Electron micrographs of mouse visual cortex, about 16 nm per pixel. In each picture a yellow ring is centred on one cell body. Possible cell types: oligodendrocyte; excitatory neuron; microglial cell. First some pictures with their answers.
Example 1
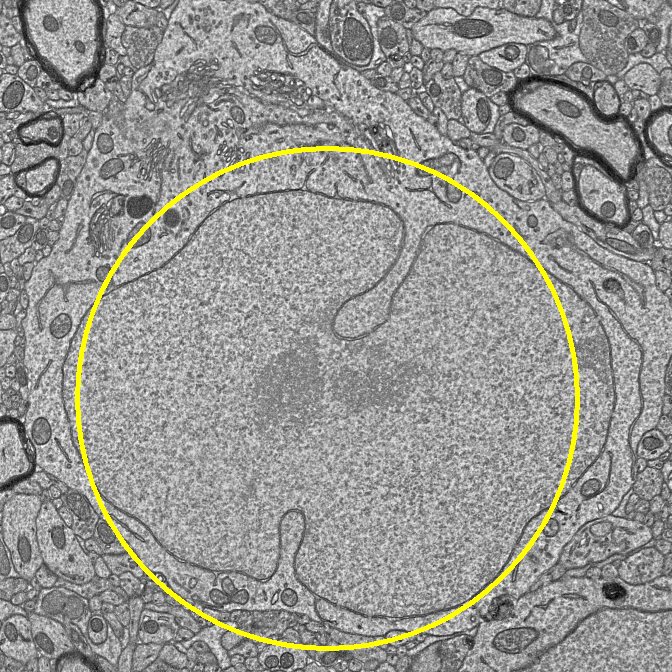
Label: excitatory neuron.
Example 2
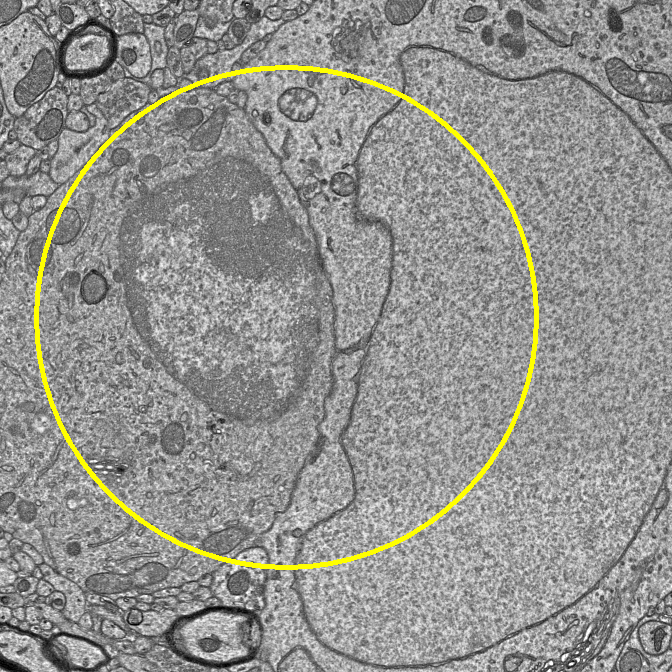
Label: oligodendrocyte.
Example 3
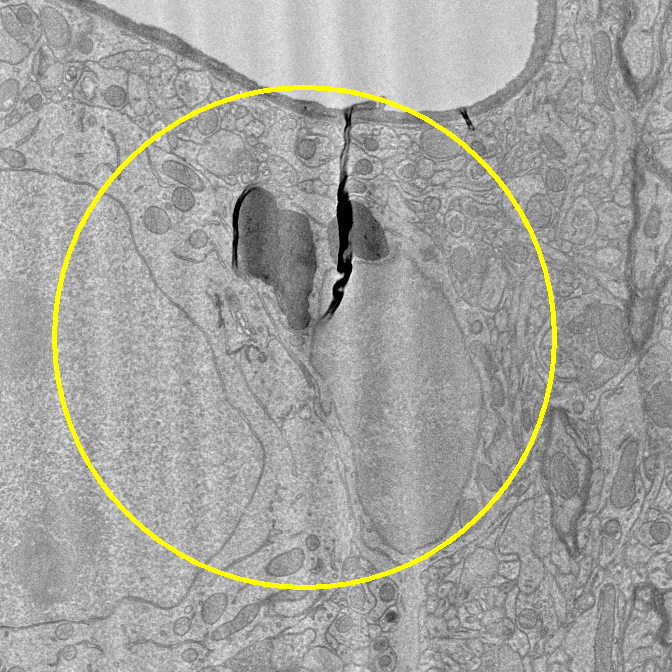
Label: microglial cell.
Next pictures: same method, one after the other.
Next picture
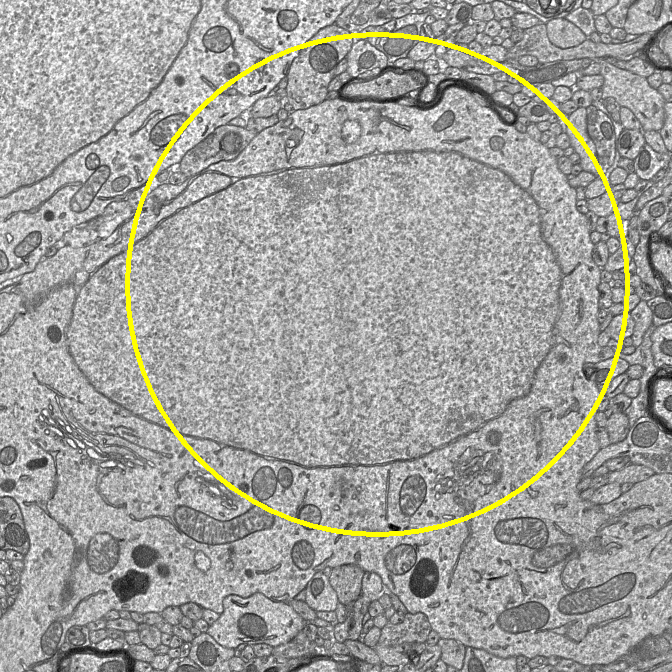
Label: excitatory neuron.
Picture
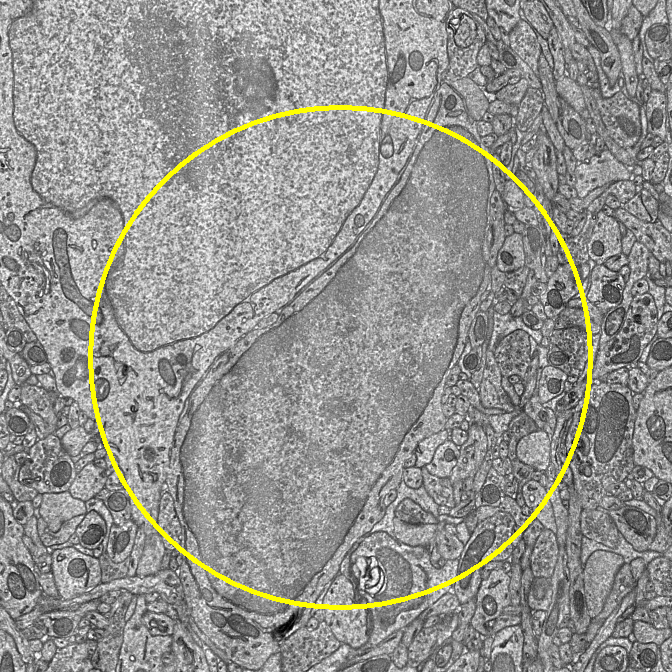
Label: microglial cell.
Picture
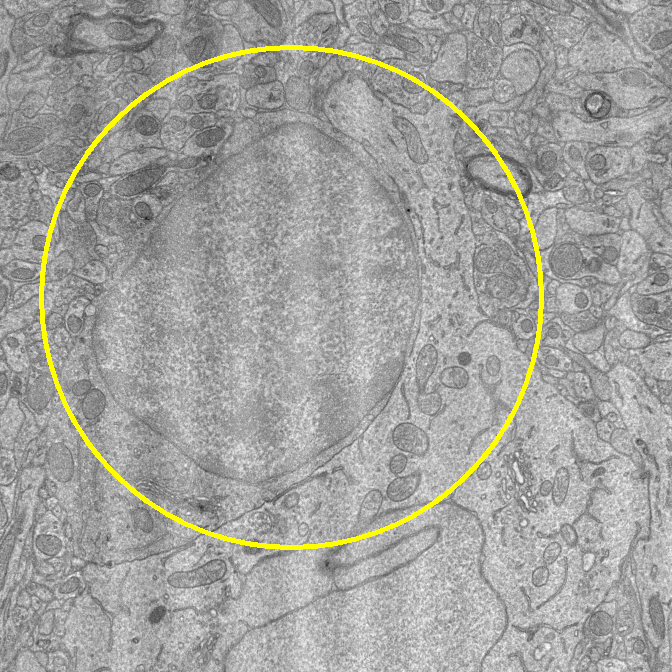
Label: oligodendrocyte.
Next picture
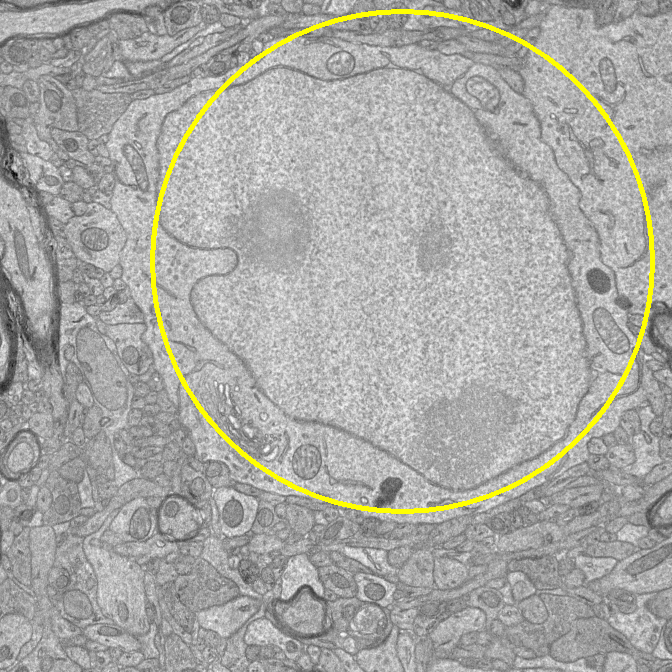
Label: excitatory neuron.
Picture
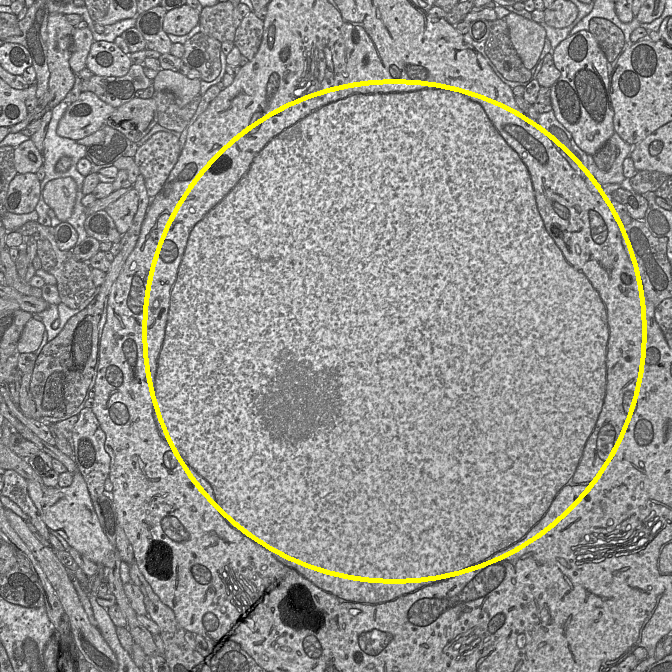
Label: excitatory neuron.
